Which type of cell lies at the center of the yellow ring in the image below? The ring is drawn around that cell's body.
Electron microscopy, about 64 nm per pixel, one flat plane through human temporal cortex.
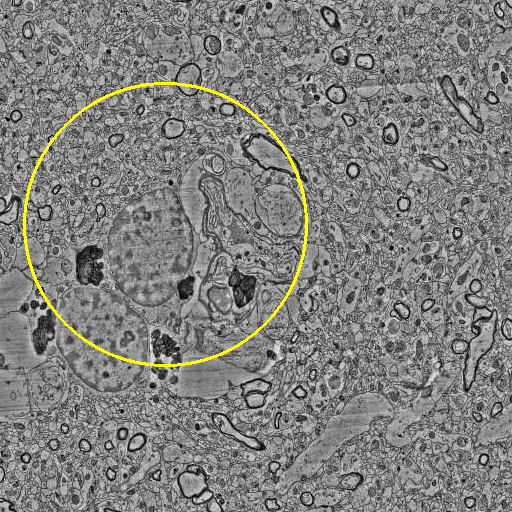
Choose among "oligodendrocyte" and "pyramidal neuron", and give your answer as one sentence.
The cell body at the center belongs to an oligodendrocyte.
